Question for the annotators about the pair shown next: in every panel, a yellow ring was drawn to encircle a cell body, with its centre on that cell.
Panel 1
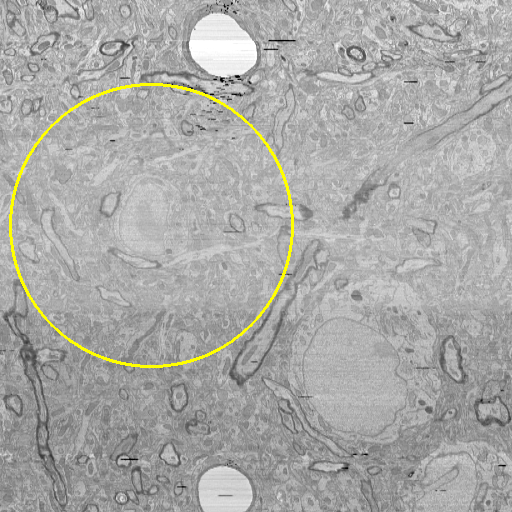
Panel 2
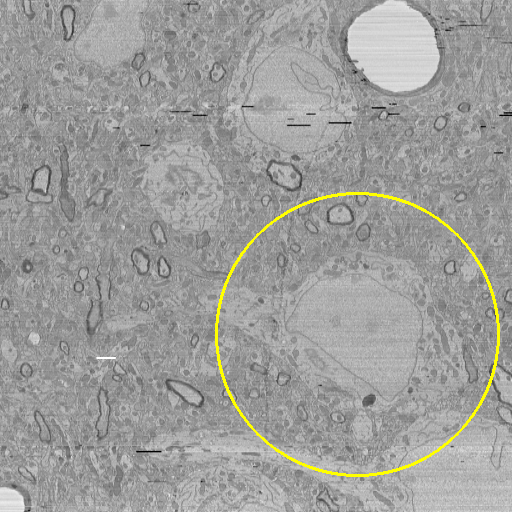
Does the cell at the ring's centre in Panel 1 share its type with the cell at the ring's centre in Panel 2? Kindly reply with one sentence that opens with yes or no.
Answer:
No, in Panels 1 and 2 the cells at the ring centres belong to separate types.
